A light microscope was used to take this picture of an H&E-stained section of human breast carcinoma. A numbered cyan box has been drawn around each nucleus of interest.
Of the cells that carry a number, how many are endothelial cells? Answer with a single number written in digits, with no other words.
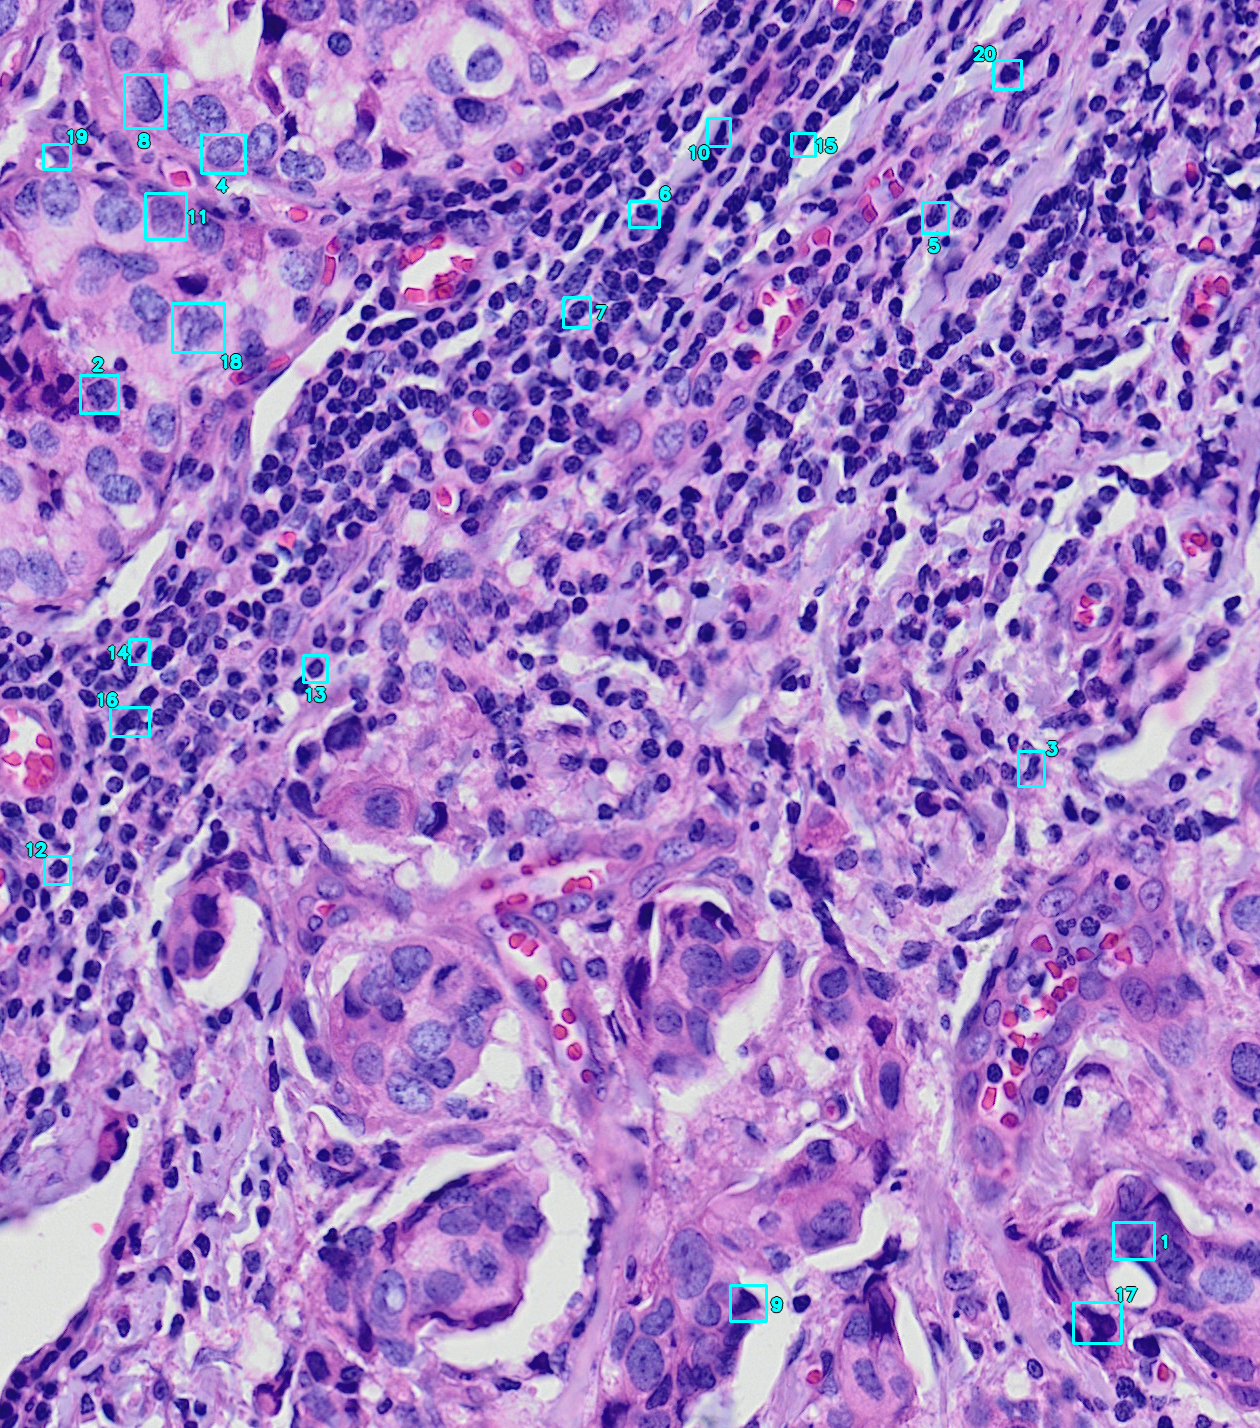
1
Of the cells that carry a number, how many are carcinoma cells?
8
